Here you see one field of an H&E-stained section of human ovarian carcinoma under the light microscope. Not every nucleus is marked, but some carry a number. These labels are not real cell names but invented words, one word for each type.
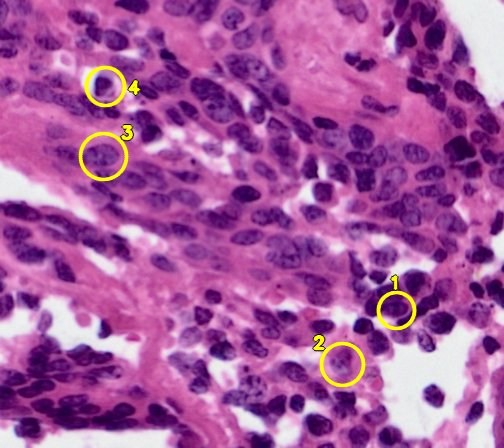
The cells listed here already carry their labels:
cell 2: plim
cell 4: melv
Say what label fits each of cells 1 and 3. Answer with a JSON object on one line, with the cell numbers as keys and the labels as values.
{"1": "melv", "3": "melv"}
